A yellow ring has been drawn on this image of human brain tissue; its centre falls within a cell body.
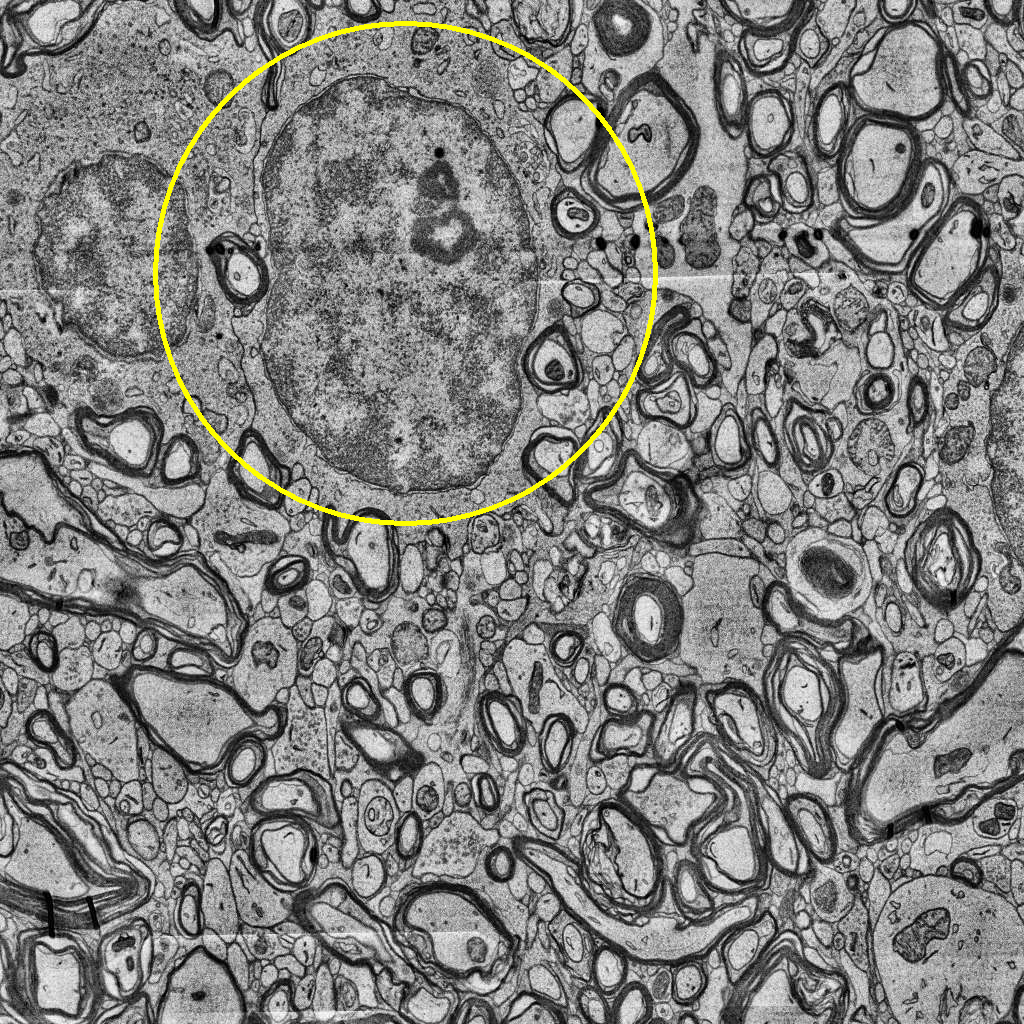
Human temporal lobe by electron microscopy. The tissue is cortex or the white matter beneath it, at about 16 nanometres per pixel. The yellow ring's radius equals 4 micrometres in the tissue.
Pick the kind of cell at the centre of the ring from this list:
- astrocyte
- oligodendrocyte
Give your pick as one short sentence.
The centre of the ring holds an oligodendrocyte.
